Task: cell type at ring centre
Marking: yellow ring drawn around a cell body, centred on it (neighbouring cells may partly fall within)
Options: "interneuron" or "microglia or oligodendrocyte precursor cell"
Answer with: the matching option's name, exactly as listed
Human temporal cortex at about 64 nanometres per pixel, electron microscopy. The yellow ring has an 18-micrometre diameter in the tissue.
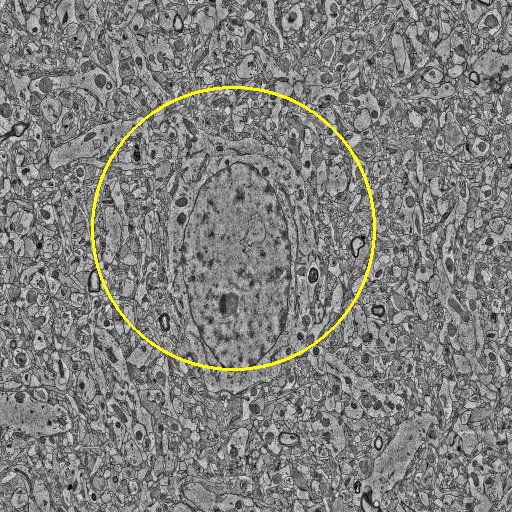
interneuron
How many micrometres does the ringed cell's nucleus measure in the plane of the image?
In this plane the nucleus is about 13 micrometres by 7.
